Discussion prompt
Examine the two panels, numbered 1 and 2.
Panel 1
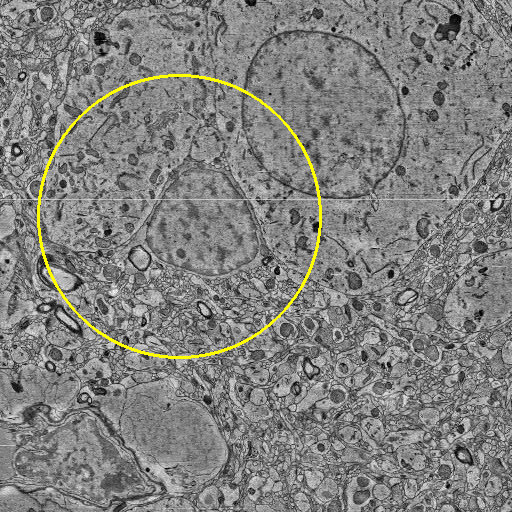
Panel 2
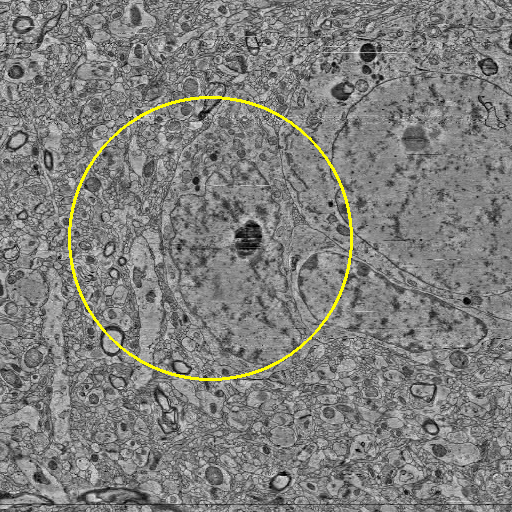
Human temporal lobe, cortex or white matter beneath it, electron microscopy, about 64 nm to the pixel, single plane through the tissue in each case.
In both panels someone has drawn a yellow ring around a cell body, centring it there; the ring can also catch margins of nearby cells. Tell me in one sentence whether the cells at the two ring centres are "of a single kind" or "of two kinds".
Taken together, the two cells centred in the rings of Panels 1 and 2 are of two kinds.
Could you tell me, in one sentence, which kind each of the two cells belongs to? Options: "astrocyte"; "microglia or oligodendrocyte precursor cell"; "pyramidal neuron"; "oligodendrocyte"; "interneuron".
At the centre of the first ring sits an oligodendrocyte, and at the centre of the second sits an interneuron.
